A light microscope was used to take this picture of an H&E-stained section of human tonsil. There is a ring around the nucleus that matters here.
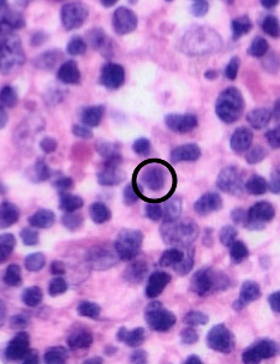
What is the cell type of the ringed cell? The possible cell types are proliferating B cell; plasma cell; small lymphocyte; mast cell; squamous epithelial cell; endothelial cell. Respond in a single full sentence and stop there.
Assigned to a cell type, the ringed cell is a proliferating B cell.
